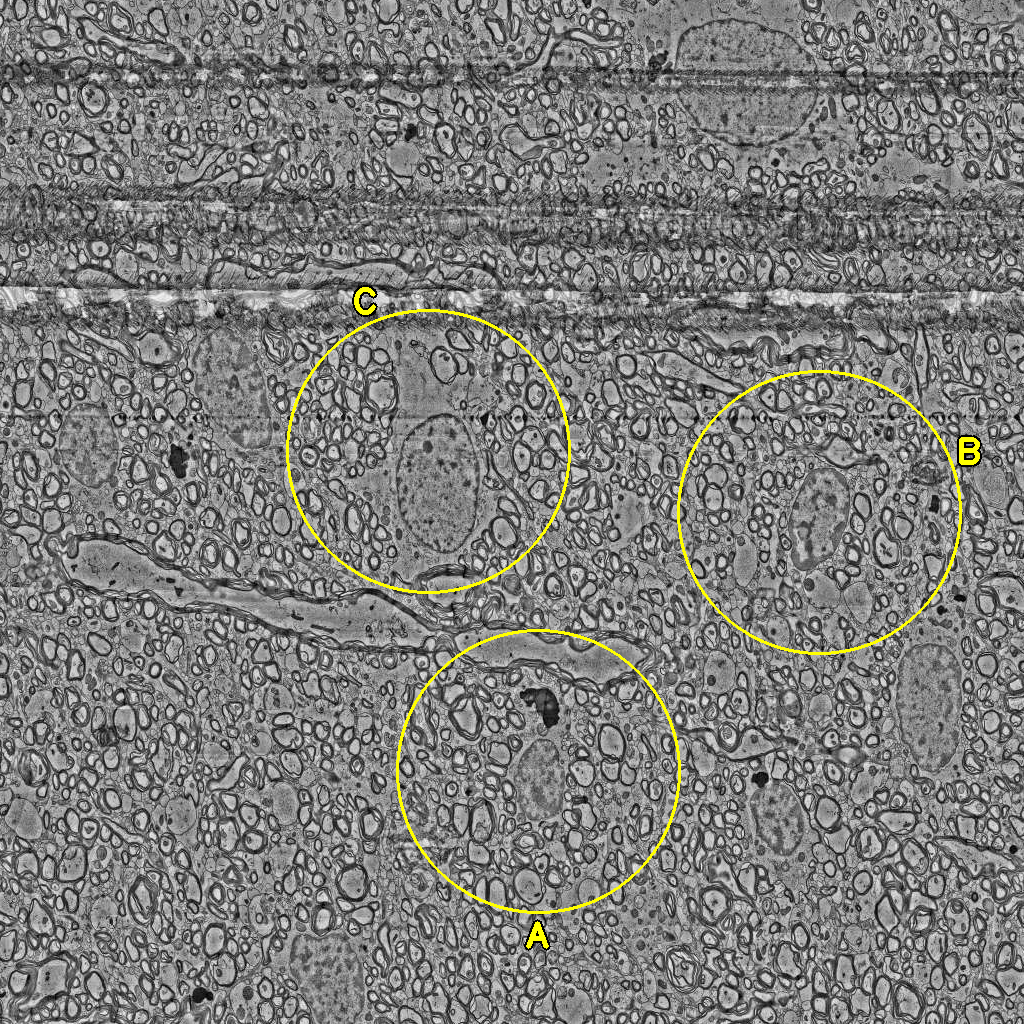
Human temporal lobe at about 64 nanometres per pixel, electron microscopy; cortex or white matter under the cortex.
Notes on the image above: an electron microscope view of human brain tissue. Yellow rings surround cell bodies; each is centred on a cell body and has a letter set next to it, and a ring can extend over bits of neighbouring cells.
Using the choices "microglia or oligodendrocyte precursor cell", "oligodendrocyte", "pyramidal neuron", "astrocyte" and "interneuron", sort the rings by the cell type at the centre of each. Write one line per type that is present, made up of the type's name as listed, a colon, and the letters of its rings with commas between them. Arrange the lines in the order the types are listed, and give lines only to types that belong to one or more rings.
microglia or oligodendrocyte precursor cell: B
oligodendrocyte: A
astrocyte: C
